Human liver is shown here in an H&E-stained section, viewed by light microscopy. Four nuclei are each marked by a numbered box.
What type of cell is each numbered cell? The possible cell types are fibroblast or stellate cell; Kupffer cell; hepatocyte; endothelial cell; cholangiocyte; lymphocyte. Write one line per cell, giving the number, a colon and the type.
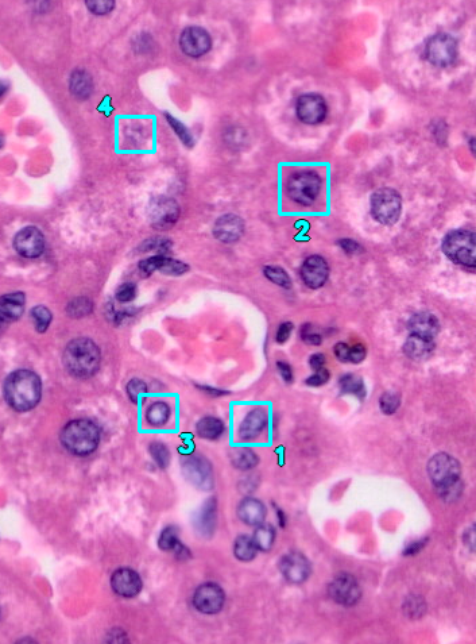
1: cholangiocyte
2: hepatocyte
3: cholangiocyte
4: hepatocyte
